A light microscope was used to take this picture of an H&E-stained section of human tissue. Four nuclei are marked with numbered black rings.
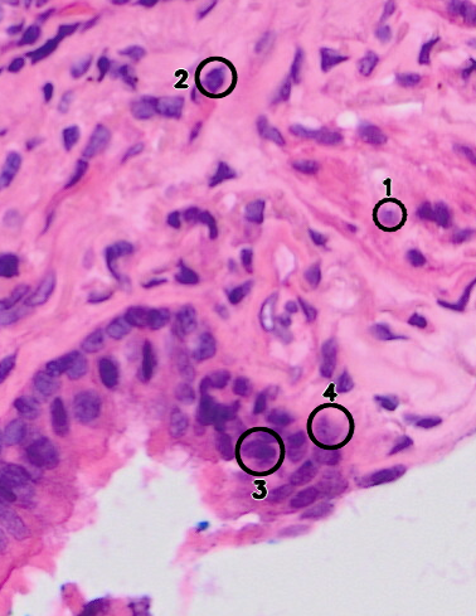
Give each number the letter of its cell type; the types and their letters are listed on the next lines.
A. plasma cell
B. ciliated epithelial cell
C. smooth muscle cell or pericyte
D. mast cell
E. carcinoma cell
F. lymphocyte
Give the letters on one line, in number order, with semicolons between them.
C; F; B; B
